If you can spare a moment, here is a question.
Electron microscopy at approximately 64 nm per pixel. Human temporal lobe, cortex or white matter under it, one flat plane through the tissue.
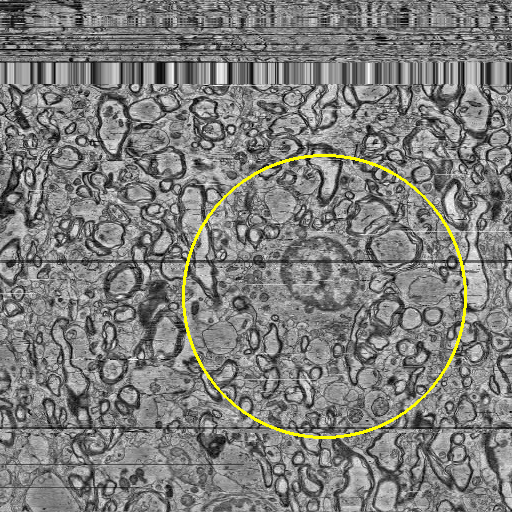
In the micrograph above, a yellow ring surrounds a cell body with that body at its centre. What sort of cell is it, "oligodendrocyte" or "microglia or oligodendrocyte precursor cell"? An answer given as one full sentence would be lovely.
Centred inside the yellow ring, the cell body shown belongs to an oligodendrocyte in this micrograph.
